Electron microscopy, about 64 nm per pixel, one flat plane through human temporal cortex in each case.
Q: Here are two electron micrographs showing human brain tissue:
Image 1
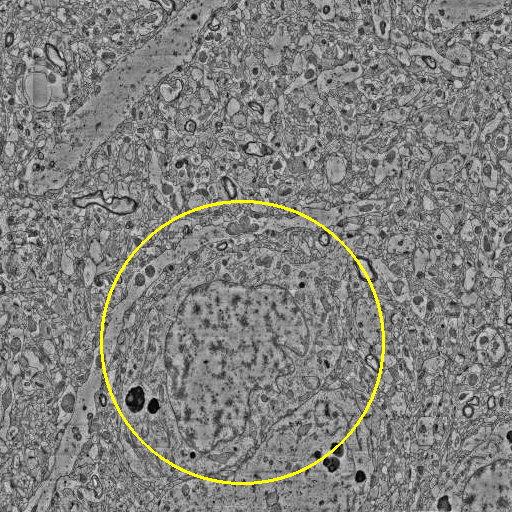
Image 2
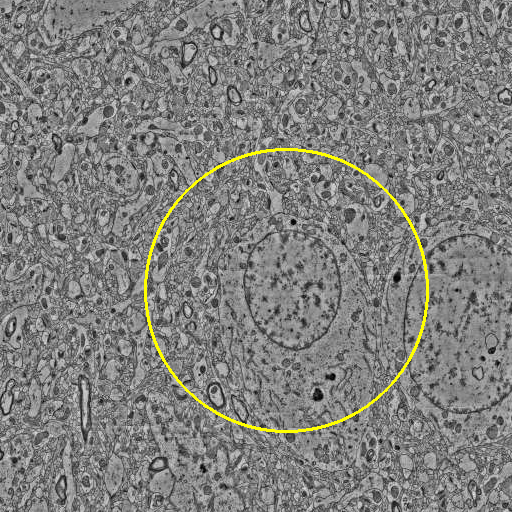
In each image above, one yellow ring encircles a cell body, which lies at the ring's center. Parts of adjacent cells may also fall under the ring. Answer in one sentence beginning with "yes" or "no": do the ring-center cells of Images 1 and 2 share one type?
No, in Images 1 and 2, the ring-center cells are of two types.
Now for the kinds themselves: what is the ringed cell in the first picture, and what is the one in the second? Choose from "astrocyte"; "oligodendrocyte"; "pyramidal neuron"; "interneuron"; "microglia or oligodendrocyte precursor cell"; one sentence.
Here the first cell is an interneuron and the second cell is a pyramidal neuron.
